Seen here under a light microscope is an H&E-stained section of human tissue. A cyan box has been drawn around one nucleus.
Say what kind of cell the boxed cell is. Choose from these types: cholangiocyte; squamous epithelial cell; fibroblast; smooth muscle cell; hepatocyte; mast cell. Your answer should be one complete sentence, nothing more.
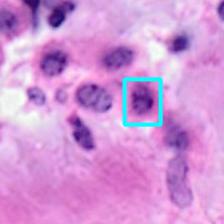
Right, so the boxed cell is a mast cell, to answer that.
